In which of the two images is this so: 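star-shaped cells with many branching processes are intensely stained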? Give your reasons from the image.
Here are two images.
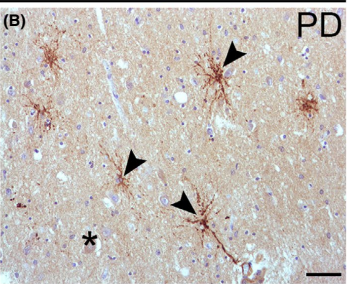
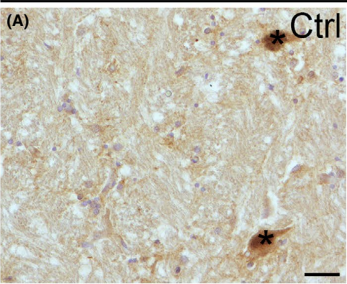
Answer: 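First image: several small cells with dark brown radiating processes stand out against a pale background. Second image: brown stain lies in large pigmented cell bodies and diffusely in the background, with no star-shaped cells. That points to this answer: the first image.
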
